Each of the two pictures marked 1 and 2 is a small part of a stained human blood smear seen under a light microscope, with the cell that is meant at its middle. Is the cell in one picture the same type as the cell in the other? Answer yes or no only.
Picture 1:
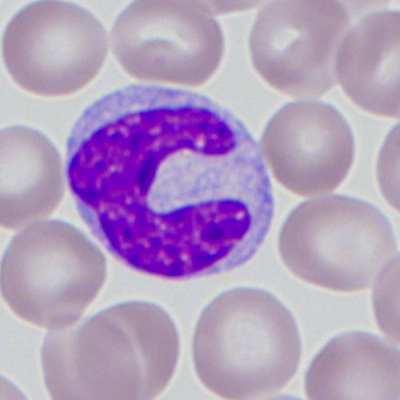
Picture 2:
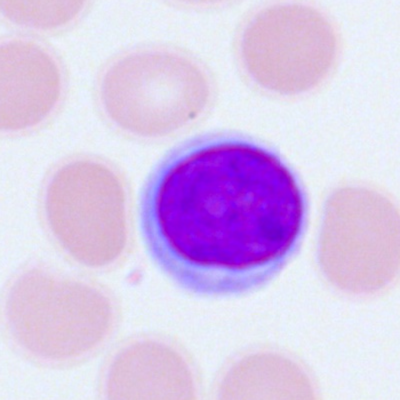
no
